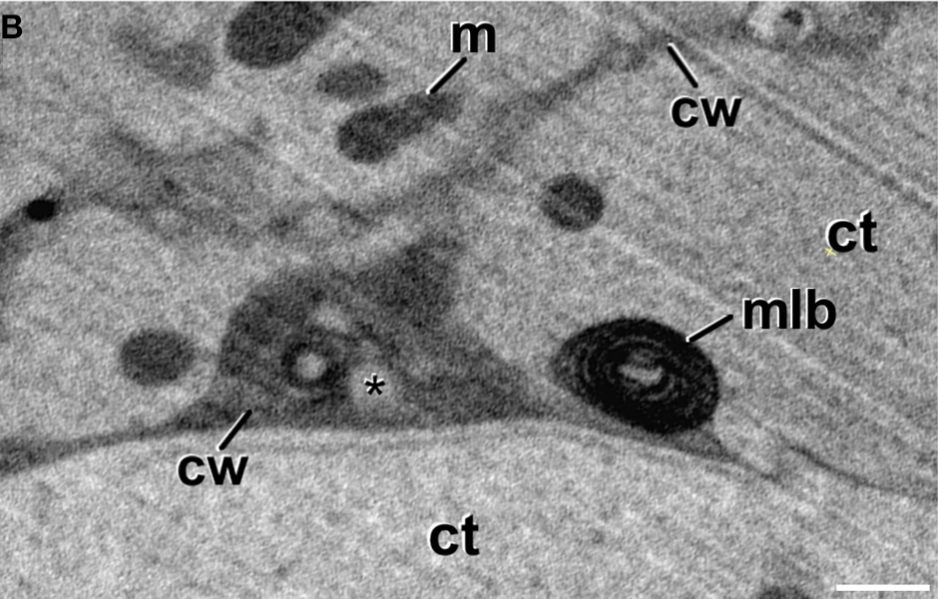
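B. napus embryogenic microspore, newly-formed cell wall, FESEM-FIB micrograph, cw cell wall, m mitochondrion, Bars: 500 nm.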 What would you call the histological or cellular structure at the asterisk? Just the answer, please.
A: Excreted cytoplasmic vesicular bodies.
